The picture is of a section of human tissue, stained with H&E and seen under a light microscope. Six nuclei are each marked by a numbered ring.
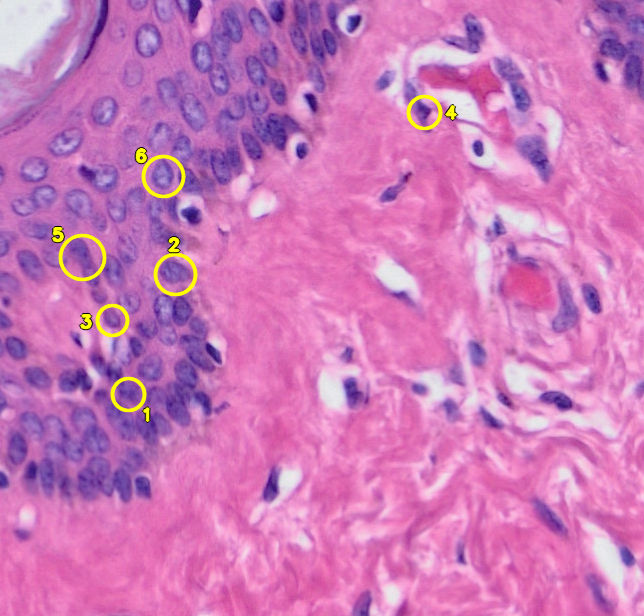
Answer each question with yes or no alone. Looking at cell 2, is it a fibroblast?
no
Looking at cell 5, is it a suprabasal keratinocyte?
no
